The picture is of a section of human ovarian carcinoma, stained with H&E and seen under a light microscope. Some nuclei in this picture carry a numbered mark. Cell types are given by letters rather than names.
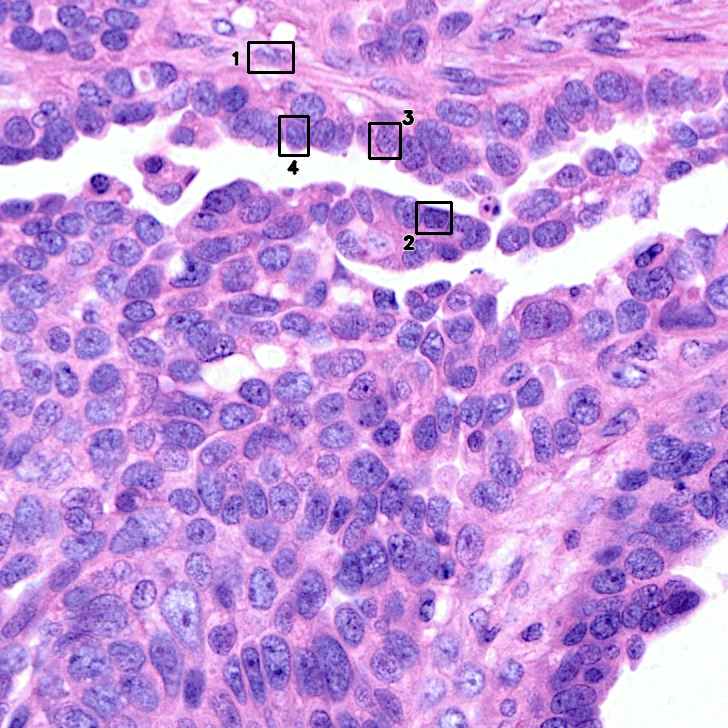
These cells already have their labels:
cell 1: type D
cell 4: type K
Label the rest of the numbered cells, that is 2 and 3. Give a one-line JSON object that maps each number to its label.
{"2": "type K", "3": "type K"}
